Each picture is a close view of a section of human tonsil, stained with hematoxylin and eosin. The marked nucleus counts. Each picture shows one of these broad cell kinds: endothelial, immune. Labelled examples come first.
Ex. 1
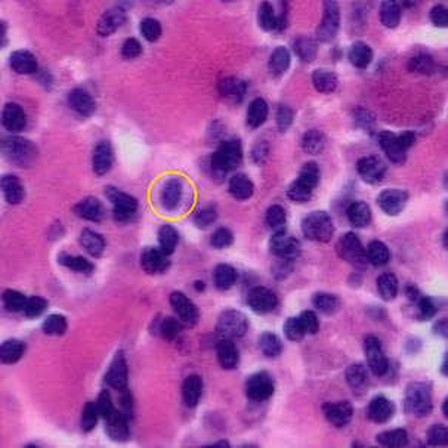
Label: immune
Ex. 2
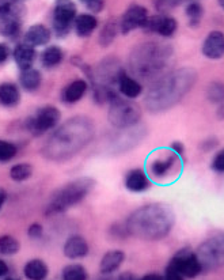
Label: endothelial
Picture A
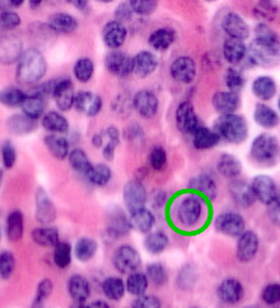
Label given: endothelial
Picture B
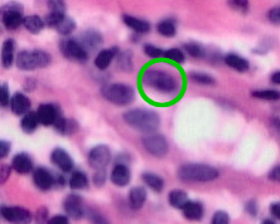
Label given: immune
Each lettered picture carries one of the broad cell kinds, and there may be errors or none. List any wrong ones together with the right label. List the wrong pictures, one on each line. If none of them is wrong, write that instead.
A should be immune, not endothelial
B should be endothelial, not immune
